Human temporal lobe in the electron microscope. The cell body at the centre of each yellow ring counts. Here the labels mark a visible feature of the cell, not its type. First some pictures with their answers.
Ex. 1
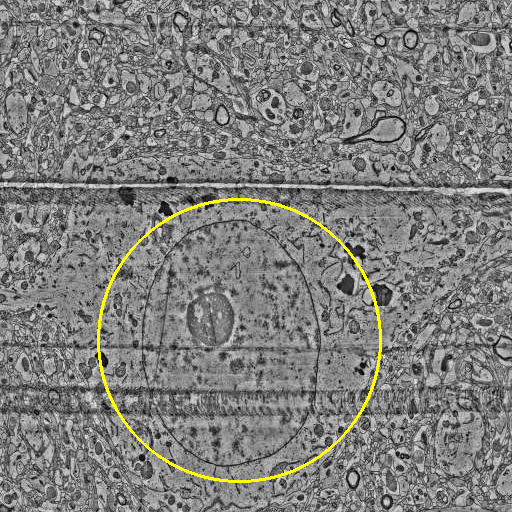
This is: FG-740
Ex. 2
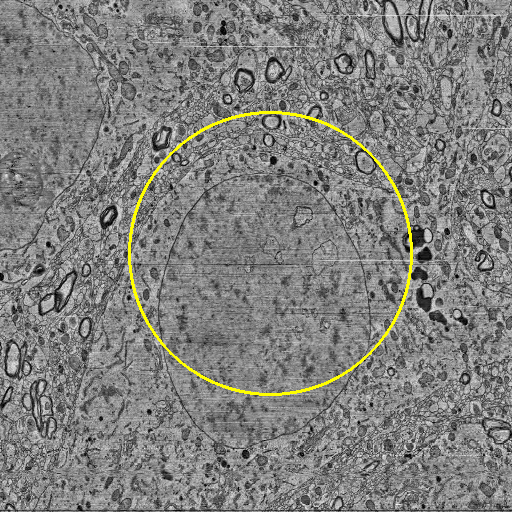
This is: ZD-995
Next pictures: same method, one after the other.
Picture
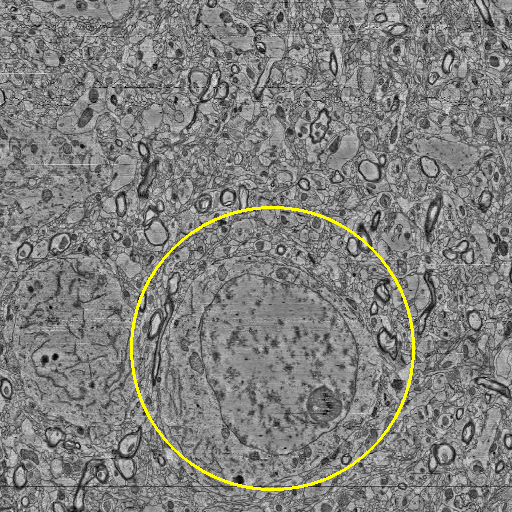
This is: FG-740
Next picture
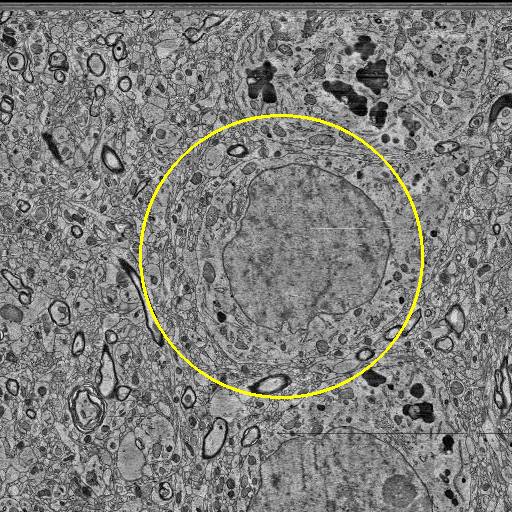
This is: ZD-995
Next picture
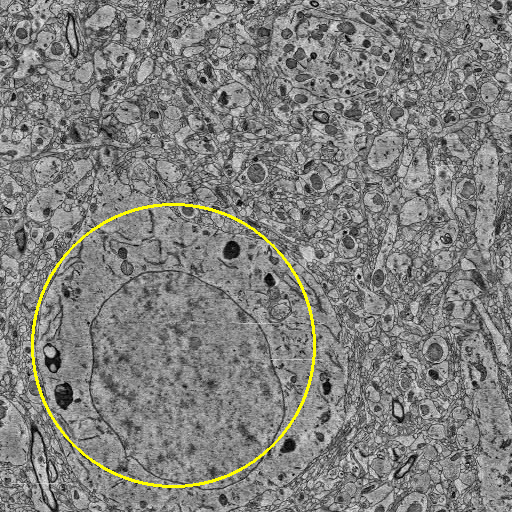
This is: ZD-995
